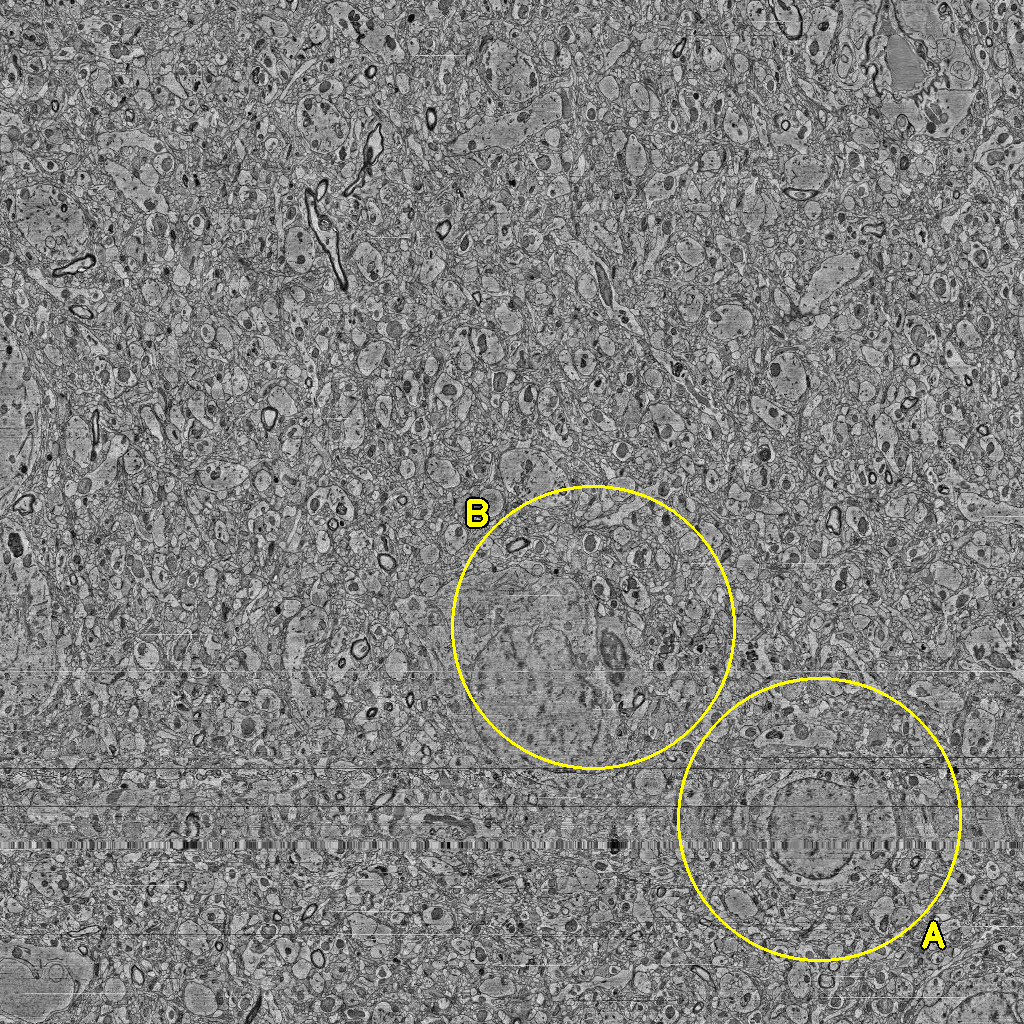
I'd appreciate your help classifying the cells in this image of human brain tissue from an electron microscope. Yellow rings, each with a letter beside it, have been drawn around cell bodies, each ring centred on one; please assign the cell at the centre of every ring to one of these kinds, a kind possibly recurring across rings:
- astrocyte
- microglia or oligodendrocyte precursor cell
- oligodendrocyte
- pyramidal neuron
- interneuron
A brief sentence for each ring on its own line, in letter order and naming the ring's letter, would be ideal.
In ring A, the central cell is a pyramidal neuron.
In ring B, the central cell is an oligodendrocyte.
